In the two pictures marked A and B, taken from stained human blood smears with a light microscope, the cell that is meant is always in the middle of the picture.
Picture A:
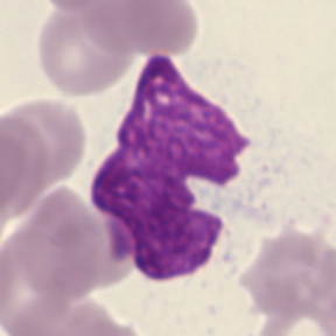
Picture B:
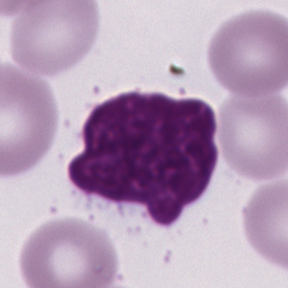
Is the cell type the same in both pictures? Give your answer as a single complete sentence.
Yes, the two pictures both show smudge cells.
